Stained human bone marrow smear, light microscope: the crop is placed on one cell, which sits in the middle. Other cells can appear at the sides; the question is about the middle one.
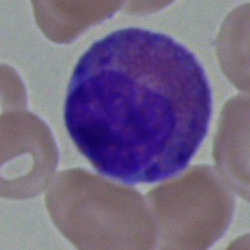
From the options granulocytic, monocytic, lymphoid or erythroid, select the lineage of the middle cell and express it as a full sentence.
In this crop the cell in the center is part of the granulocytic lineage.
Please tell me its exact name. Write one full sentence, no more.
On this slide crop, the central cell is an eosinophil.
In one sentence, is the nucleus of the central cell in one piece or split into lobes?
The nuclear material is gathered into one compact round, oval or kidney-shaped mass.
